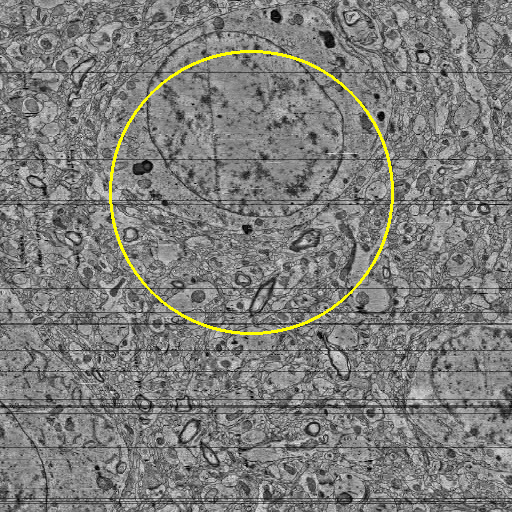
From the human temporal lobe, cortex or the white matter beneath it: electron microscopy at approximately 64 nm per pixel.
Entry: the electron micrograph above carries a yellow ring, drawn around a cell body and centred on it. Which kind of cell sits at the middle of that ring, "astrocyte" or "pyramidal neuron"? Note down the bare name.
pyramidal neuron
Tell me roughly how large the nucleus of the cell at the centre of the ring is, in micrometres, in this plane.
Roughly 13 micrometres by 11 micrometres, in this plane.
